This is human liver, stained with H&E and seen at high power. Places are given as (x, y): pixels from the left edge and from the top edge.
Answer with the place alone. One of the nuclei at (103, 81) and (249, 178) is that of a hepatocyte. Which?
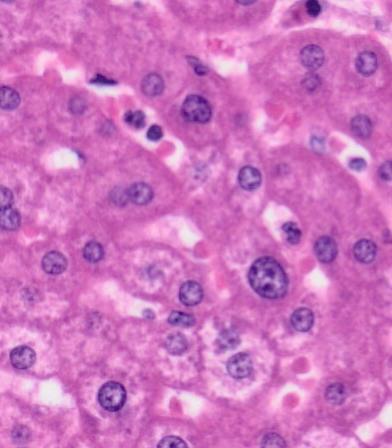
(249, 178)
